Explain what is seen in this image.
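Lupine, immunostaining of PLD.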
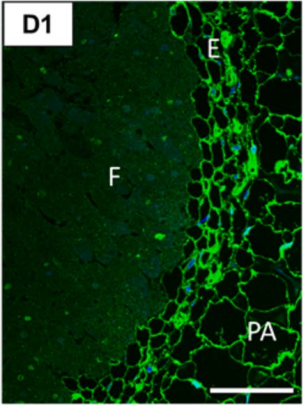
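On the left lies a broad, densely packed region with faint fine-grained green and small scattered blue dots; on the right is a meshwork of polygonal cells whose peripheries are outlined in bright green. Along the edge of the dense region the cells are small and tightly packed, while further out they become larger and look empty inside. The dense region is the fixation zone of the nodule, the band of small cells bordering it is the endodermis, and the large outer cells are nodule parenchyma.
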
